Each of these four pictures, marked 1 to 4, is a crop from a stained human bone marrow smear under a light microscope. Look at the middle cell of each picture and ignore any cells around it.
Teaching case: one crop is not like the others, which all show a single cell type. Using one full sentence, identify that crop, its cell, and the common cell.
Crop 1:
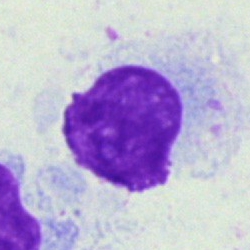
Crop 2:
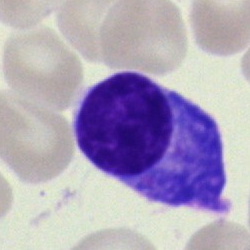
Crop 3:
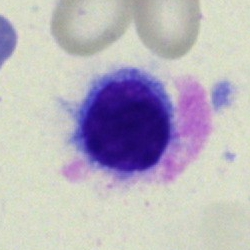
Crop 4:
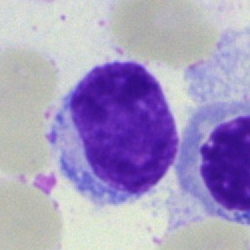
Where the others show hairy cells, crop 2 shows a plasma cell.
